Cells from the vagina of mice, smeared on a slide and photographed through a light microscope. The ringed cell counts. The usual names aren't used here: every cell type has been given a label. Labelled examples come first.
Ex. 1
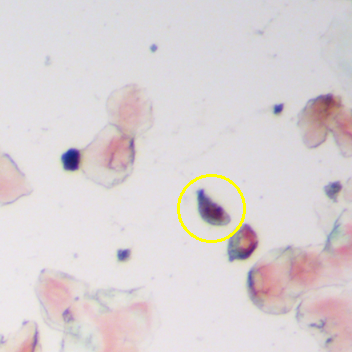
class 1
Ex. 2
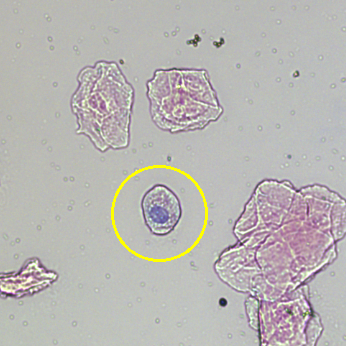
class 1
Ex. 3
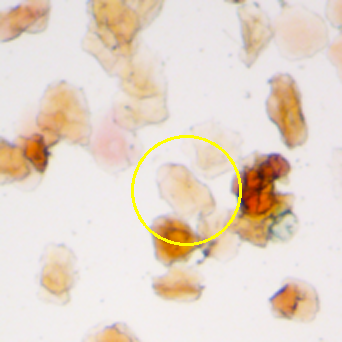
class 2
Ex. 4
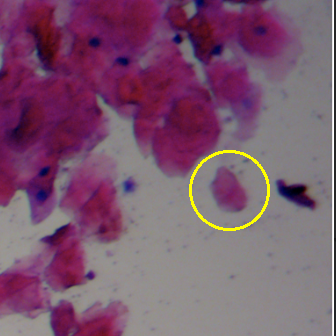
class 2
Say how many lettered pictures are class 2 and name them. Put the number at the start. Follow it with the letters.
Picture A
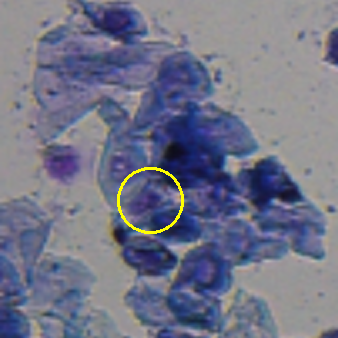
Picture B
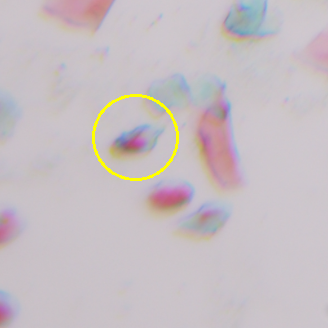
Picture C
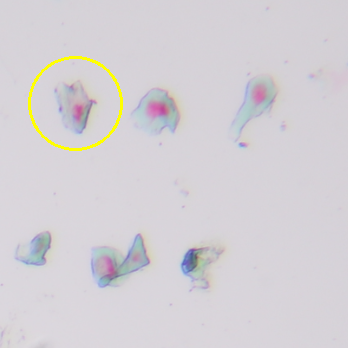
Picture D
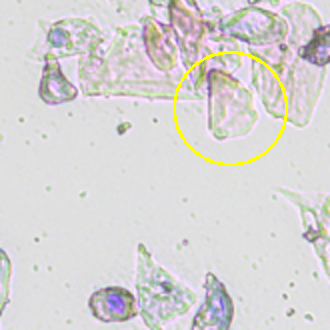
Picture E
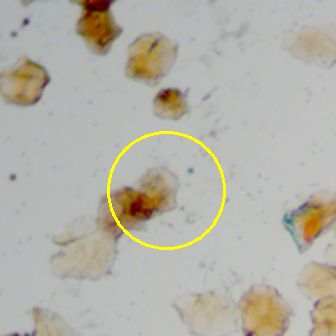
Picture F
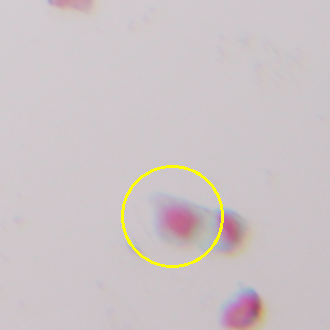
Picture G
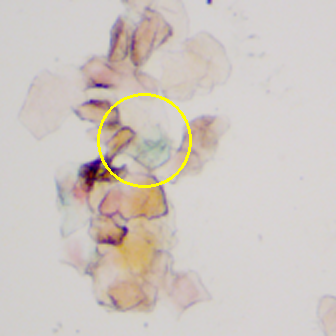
3: D, E, G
